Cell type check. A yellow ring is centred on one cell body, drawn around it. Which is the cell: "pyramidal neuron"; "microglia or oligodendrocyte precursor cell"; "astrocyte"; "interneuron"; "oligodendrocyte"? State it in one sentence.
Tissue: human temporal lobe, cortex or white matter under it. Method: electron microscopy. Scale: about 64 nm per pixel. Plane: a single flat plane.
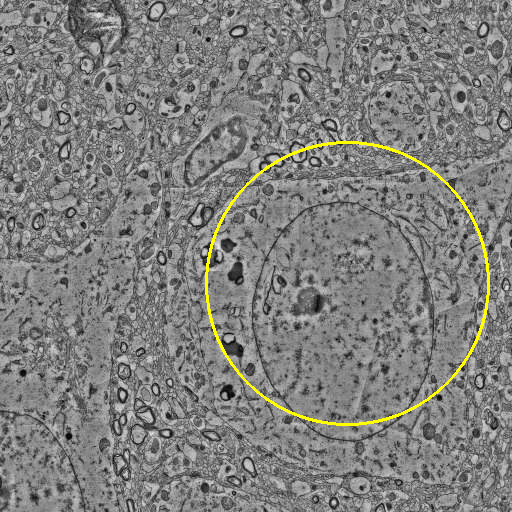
The cell body at the ring's centre belongs to a pyramidal neuron.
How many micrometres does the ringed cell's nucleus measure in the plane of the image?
In this plane, roughly 16 by 12 micrometres.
